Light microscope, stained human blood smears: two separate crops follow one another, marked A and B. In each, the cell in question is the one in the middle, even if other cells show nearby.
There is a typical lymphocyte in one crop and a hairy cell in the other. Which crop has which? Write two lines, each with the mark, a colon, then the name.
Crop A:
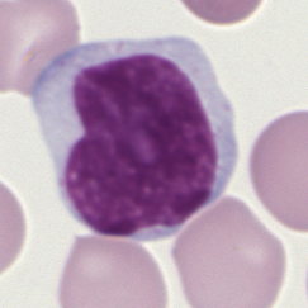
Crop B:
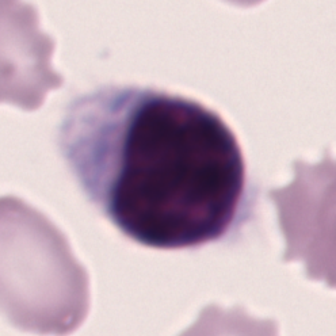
A: typical lymphocyte
B: hairy cell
